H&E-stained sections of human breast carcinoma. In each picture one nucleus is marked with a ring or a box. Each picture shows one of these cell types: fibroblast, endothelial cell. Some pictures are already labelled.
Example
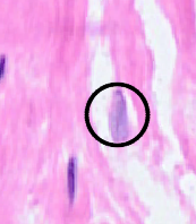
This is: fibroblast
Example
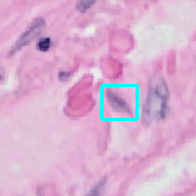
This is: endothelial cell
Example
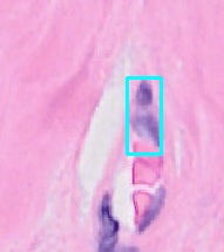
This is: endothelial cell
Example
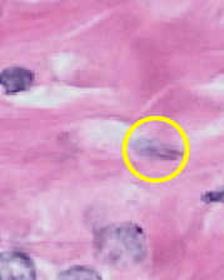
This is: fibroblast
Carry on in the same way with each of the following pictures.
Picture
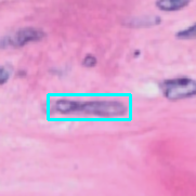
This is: fibroblast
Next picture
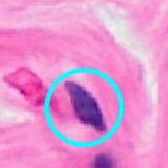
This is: endothelial cell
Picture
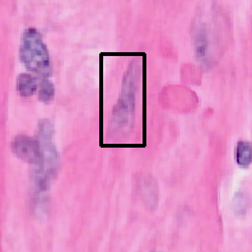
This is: fibroblast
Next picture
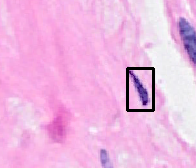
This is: fibroblast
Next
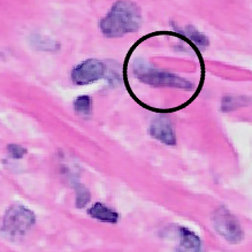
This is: endothelial cell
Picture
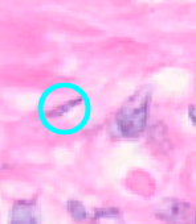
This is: fibroblast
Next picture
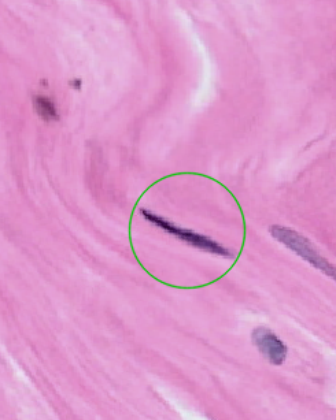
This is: fibroblast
